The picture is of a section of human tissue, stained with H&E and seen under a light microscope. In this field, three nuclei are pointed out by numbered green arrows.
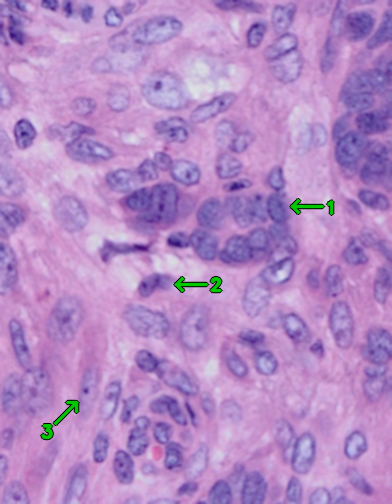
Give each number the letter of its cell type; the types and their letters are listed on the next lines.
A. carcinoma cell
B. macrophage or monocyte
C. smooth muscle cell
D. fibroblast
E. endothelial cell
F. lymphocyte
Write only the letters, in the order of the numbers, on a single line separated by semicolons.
A; B; D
